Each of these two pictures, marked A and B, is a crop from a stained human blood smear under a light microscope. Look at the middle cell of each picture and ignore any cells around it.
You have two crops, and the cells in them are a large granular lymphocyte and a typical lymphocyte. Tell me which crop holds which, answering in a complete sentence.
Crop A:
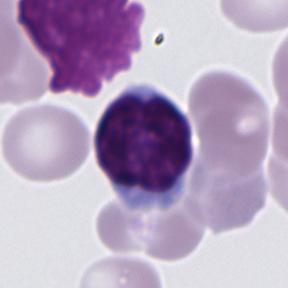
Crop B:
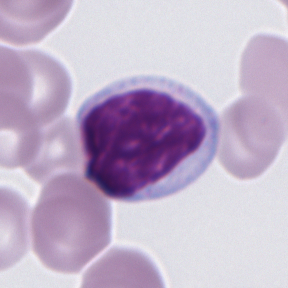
Crops A and B are, respectively, a typical lymphocyte and a large granular lymphocyte.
